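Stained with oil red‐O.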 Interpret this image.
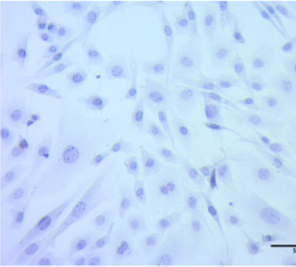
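This culture shows flat, loosely spaced cells with pale blue cytoplasm and oval blue nuclei. Many cells are elongated or spindle-shaped with tapering extensions, while others are more polygonal. No red droplets are visible in the cytoplasm, and pale background shows between the cells.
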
